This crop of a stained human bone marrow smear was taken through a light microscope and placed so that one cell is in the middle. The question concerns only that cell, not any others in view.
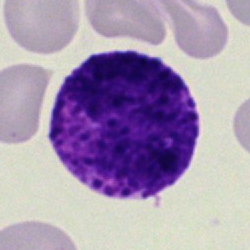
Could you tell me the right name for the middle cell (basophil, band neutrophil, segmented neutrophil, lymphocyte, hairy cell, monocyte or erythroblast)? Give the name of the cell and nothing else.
basophil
